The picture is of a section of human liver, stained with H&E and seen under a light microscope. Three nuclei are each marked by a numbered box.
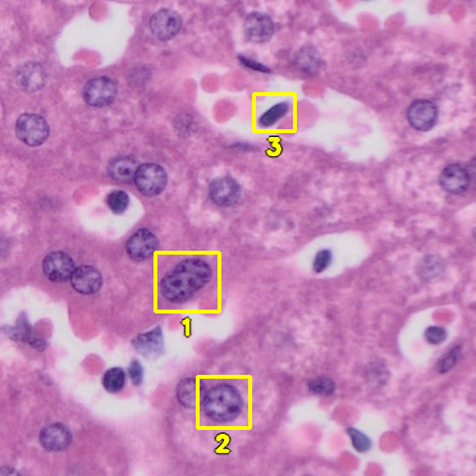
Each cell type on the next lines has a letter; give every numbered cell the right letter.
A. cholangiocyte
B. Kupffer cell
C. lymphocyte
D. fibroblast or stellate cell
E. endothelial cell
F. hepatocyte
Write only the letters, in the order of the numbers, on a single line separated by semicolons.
F; F; C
